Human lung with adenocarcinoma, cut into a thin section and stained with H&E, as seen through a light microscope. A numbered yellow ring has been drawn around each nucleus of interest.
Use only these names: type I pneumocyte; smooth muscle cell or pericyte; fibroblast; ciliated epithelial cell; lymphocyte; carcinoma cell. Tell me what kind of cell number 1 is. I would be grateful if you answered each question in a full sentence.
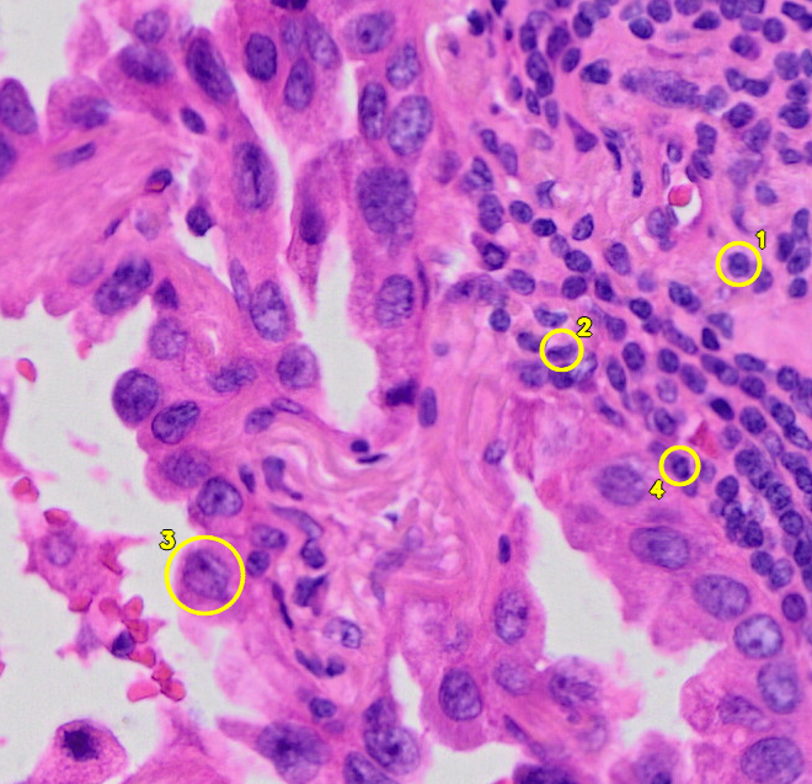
The nucleus with number 1 is that of a lymphocyte.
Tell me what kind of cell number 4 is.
Among the marked cells, number 4 is a lymphocyte.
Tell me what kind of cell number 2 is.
The numbered cell 2 is identified here as a lymphocyte.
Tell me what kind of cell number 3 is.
Numbered cell 3 is a carcinoma cell in this tissue section.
